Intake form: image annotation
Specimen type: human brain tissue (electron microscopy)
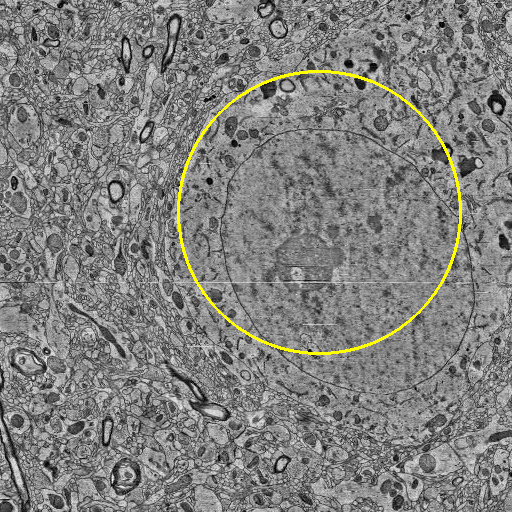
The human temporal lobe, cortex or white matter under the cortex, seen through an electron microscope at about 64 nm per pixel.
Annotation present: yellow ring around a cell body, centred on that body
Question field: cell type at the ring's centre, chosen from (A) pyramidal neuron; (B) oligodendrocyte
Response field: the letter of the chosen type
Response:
A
